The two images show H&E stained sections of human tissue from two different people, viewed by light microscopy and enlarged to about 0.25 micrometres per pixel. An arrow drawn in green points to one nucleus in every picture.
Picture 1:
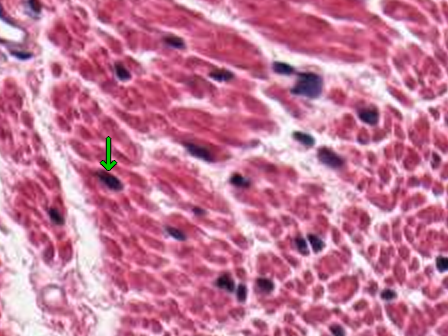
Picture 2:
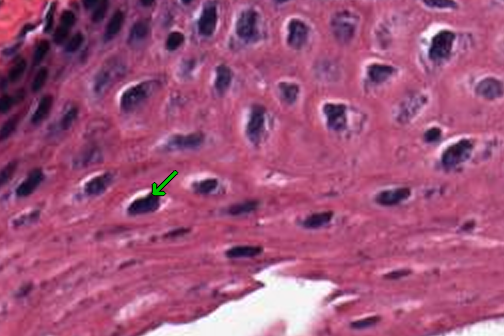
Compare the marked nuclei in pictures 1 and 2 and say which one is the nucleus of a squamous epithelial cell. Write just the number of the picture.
2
